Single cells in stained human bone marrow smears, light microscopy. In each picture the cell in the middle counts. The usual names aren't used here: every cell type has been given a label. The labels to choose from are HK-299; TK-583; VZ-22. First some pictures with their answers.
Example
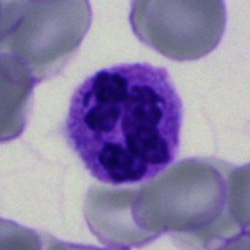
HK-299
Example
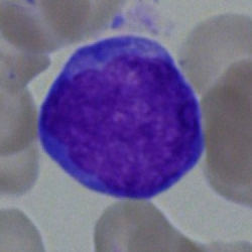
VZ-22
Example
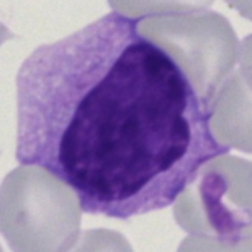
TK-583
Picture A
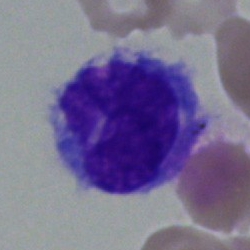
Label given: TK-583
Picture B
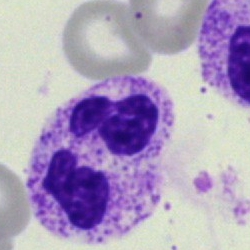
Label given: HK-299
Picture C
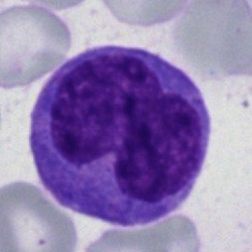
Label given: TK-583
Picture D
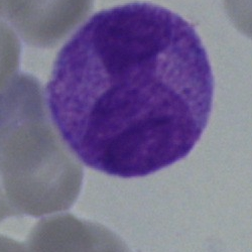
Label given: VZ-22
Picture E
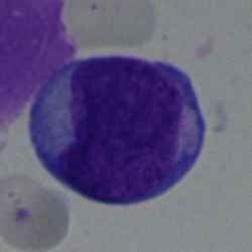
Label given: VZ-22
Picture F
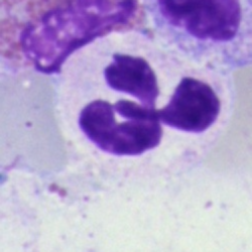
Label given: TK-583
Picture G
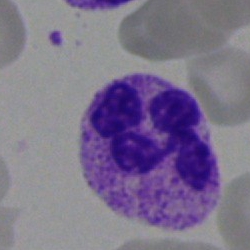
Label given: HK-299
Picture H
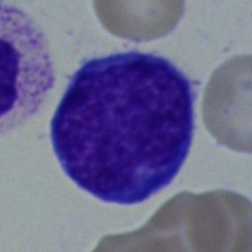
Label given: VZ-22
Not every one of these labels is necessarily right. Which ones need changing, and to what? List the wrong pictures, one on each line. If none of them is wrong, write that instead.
F: HK-299, not TK-583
